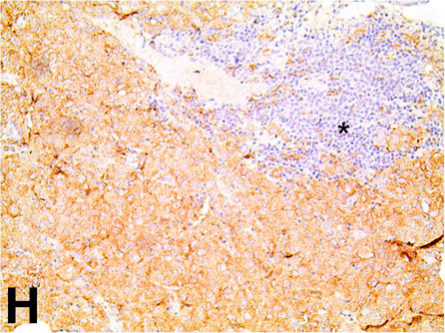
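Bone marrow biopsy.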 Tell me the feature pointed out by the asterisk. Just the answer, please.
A: Lymphoid aggregate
